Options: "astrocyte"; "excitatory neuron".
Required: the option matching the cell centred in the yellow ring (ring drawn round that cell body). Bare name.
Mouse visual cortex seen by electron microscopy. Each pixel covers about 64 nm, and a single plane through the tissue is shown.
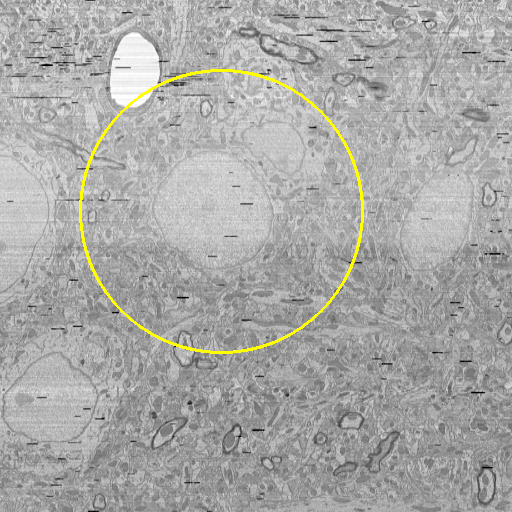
astrocyte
